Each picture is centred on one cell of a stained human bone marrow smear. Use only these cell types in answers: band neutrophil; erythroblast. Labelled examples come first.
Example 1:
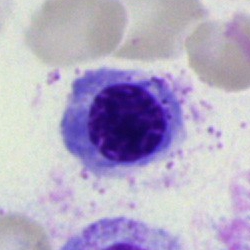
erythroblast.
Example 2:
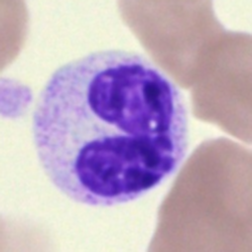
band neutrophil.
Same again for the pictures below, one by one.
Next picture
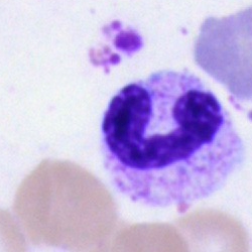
band neutrophil.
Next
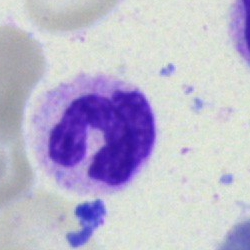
band neutrophil.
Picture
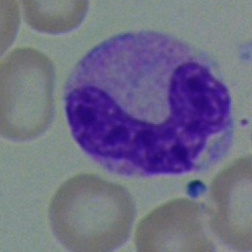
band neutrophil.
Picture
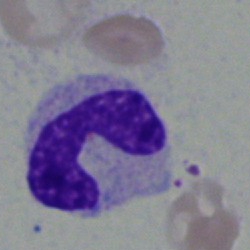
band neutrophil.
